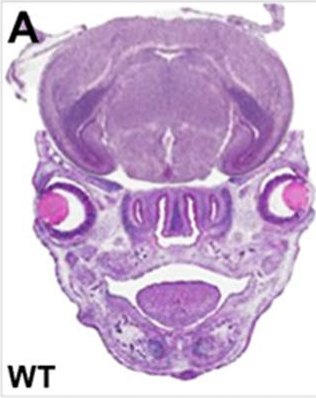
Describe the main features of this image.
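The brain has purple-staining walls around paired fluid spaces. Two eyes lie symmetrically on either side of the face, each with a bright pink lens surrounded by a darker layered rim. Between them, in the midline, are the nasal passages separated by a septum. Below them lies a rounded tongue within the oral cavity.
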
